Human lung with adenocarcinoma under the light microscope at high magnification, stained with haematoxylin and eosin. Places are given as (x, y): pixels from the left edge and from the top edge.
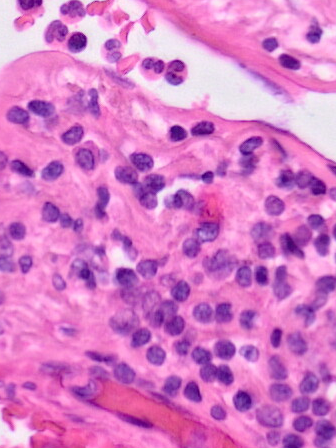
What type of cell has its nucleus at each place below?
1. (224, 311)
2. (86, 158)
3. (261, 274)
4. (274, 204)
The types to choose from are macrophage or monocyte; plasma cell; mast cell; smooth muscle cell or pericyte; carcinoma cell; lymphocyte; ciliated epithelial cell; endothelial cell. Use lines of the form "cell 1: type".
cell 1: lymphocyte
cell 2: plasma cell
cell 3: lymphocyte
cell 4: lymphocyte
